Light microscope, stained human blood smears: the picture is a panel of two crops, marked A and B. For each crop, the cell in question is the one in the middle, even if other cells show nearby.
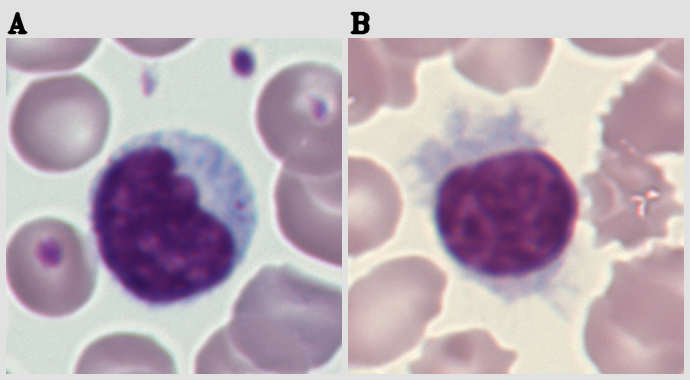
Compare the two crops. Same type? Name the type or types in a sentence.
No, on this set crop A shows a typical lymphocyte and crop B shows a hairy cell.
